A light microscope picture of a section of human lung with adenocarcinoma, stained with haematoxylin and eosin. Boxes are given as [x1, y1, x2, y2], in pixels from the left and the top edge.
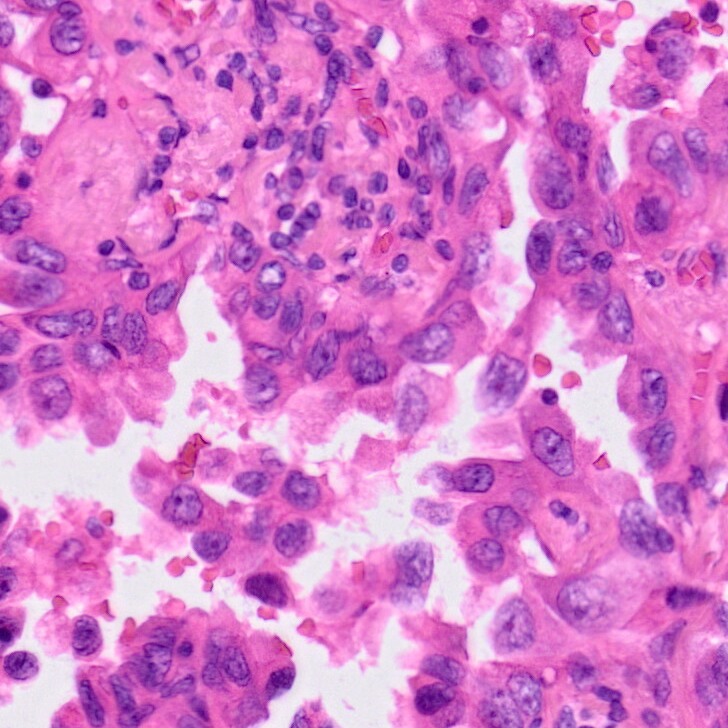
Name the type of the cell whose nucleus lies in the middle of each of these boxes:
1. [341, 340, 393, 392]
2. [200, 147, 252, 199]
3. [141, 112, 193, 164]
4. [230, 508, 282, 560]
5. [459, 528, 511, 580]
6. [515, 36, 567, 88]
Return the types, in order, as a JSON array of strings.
["carcinoma cell", "lymphocyte", "lymphocyte", "carcinoma cell", "carcinoma cell", "carcinoma cell"]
